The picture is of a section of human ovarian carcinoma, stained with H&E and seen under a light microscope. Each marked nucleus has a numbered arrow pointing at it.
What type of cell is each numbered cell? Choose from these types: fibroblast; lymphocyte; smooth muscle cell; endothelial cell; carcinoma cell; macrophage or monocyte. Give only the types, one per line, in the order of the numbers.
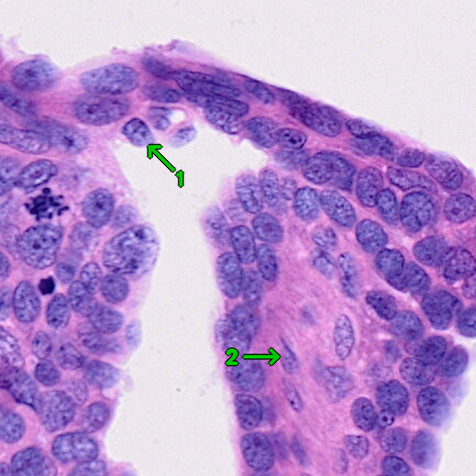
macrophage or monocyte
fibroblast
